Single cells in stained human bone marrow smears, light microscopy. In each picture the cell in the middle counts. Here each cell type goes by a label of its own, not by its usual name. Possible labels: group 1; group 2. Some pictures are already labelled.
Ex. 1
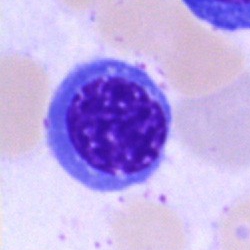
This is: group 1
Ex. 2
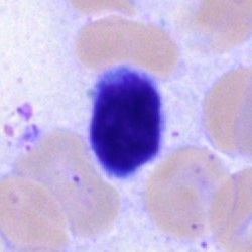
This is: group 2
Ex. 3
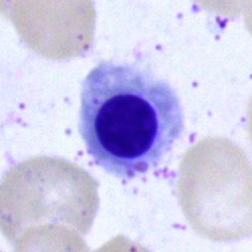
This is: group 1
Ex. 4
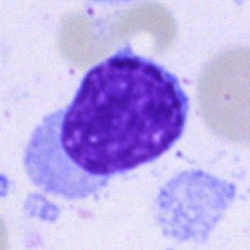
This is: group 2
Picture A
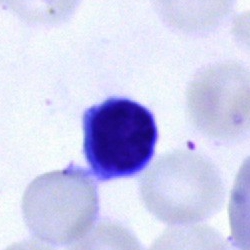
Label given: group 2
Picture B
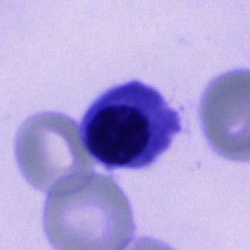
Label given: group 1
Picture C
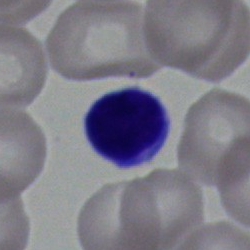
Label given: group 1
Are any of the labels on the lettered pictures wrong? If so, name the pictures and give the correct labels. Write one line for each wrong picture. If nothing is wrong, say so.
Wrong: C (group 1); correct: group 2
